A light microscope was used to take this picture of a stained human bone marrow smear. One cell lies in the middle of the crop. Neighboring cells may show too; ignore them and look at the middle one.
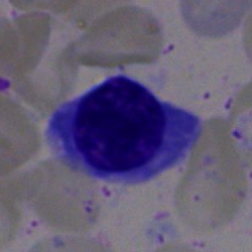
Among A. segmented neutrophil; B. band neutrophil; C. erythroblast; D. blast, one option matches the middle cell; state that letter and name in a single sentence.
Option C is correct, naming the cell in the middle as an erythroblast.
